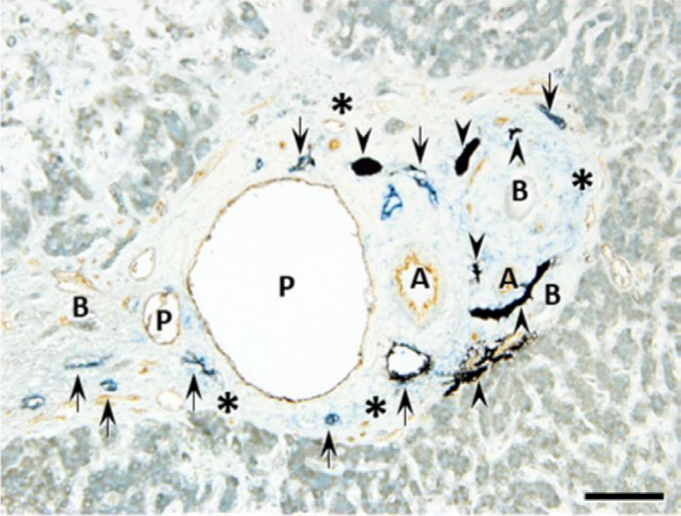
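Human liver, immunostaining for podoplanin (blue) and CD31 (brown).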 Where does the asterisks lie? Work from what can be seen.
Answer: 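Mall's space. The asterisks lie at the border between the portal connective tissue and the liver cells. These areas are pale with faint blue tint.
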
